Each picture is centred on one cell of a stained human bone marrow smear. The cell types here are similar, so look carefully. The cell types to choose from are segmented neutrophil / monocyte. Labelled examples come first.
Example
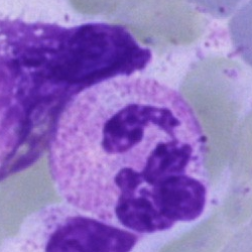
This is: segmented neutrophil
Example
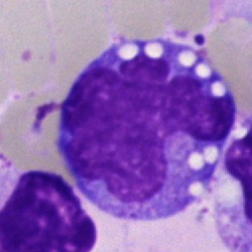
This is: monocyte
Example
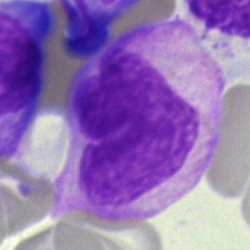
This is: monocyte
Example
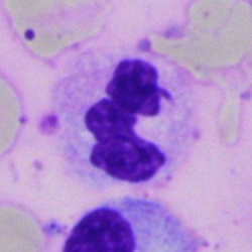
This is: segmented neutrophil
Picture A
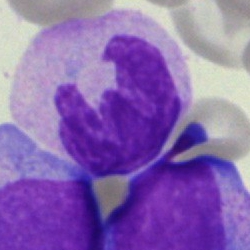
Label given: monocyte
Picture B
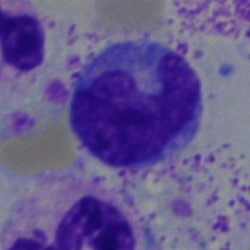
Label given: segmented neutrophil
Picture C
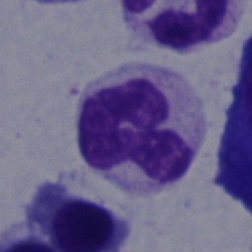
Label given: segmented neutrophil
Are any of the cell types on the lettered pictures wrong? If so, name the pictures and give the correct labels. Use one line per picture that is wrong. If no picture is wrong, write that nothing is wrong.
B: not segmented neutrophil but monocyte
